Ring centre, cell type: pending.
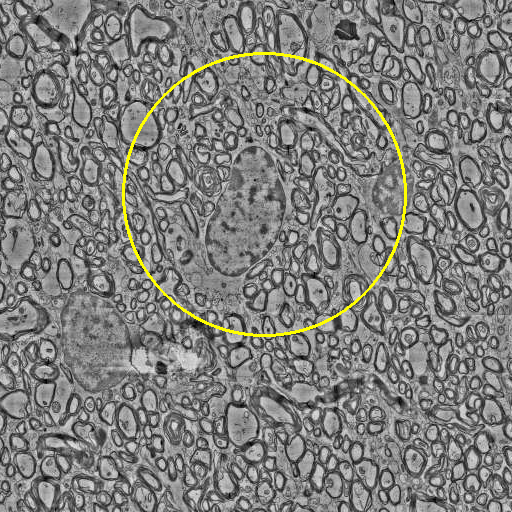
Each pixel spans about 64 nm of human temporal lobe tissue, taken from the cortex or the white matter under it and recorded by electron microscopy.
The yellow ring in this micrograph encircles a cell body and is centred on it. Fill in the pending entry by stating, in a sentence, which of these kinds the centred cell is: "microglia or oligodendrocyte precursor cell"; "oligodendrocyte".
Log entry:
The centred cell is recorded as a microglial cell or oligodendrocyte precursor cell.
